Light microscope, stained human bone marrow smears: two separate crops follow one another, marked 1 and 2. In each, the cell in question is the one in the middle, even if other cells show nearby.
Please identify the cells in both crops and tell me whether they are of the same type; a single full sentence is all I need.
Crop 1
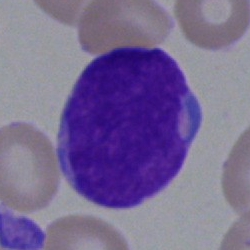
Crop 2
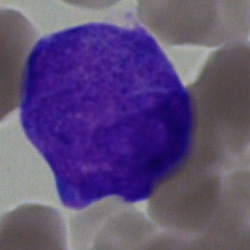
Yes, the same answer goes for both crops, namely blasts.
